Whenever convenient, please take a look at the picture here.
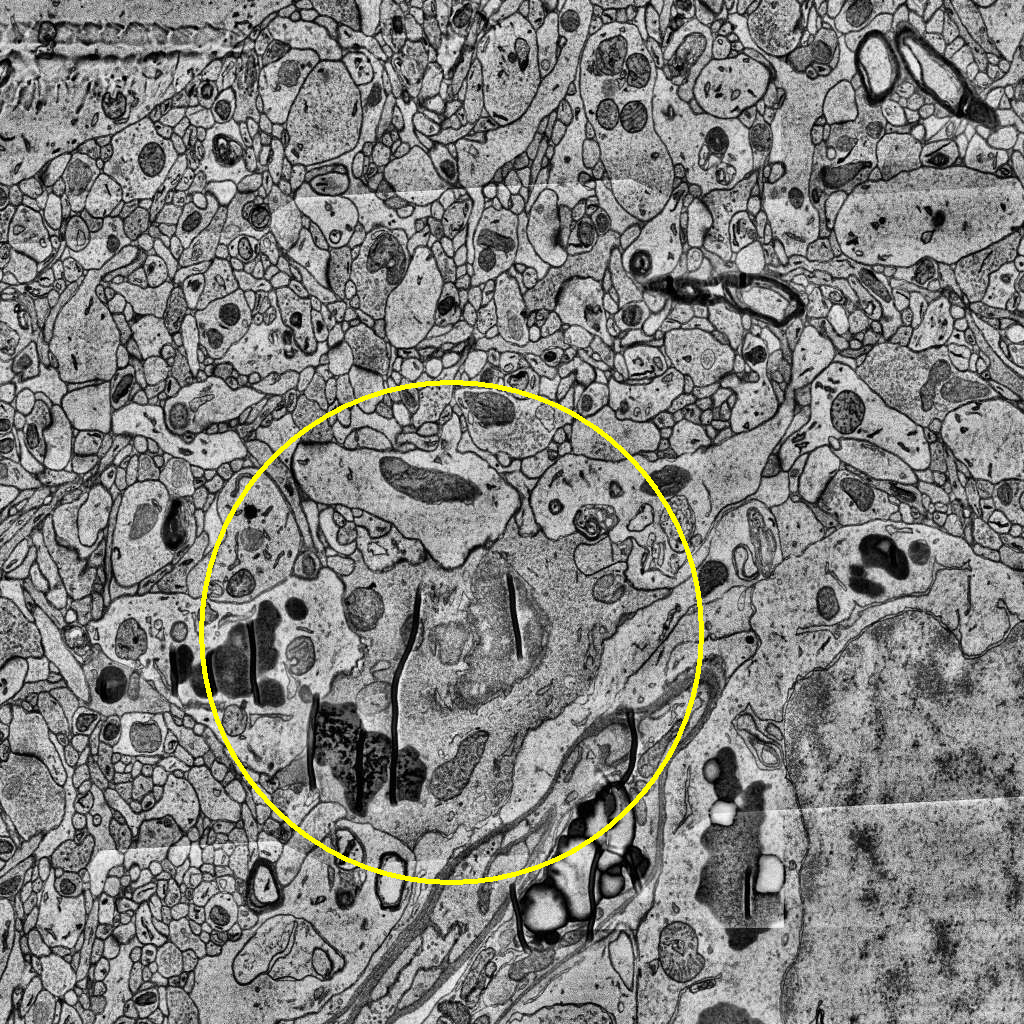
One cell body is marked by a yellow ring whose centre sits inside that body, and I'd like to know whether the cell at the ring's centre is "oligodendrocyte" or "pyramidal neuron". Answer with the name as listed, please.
oligodendrocyte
